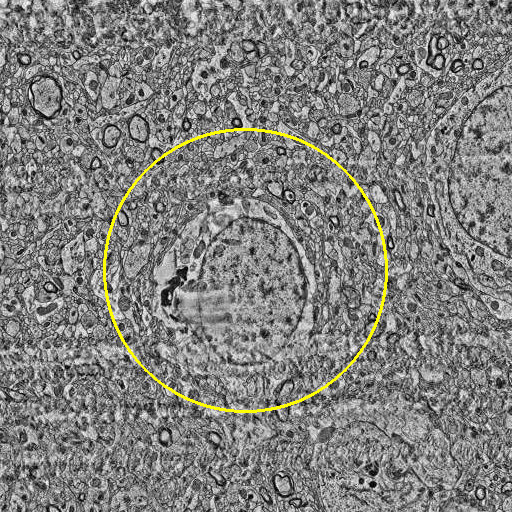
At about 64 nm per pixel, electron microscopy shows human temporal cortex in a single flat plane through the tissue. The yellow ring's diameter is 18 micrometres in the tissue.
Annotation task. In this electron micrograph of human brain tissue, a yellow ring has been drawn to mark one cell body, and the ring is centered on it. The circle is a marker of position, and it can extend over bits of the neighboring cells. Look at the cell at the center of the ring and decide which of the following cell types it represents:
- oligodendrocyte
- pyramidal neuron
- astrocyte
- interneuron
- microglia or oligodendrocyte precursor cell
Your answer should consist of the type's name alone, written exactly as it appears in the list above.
astrocyte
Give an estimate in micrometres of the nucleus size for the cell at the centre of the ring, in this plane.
In this plane, about 9 micrometres in length and 7 in width.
